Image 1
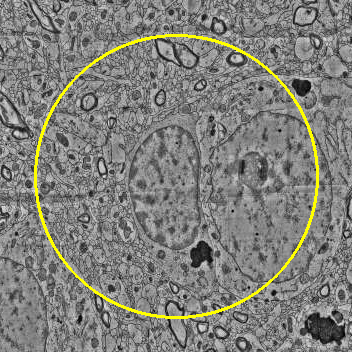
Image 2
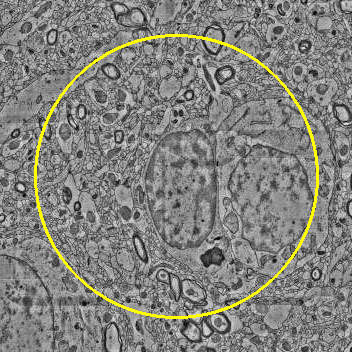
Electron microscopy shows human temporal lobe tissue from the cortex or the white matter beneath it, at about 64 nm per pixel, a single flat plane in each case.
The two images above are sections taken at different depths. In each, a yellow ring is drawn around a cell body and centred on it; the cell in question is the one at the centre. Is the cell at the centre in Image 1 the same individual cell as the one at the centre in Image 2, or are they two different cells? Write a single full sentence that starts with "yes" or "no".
Yes, the same cell appears within both yellow rings.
